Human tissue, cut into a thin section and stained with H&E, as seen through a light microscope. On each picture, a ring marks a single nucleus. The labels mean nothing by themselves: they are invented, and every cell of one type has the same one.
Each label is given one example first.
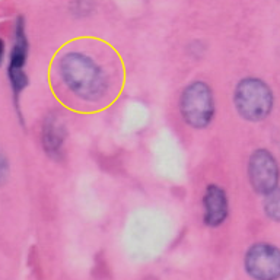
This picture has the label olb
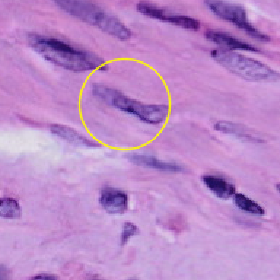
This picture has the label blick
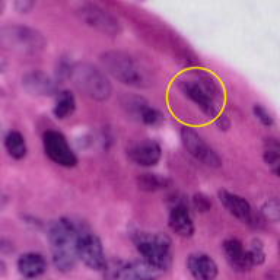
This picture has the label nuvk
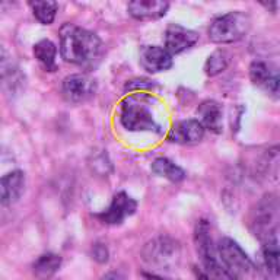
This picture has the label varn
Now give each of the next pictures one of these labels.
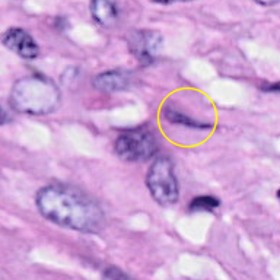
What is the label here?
blick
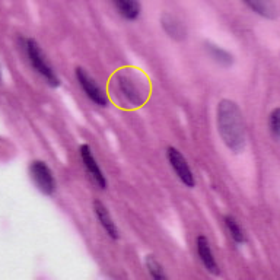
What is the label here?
nuvk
